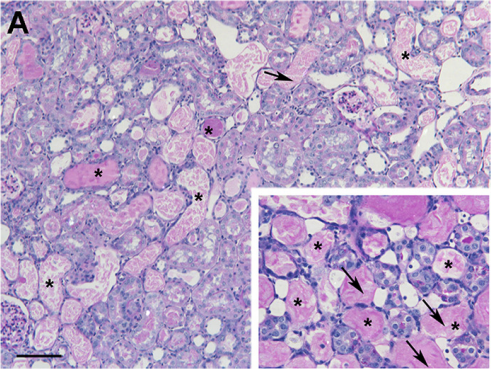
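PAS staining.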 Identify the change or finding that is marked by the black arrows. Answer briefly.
Tubular necrosis.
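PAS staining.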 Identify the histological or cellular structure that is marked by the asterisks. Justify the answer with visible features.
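Intratubular hyaline casts. The pink material has no nuclei in it. The tubules holding this material are widened.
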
